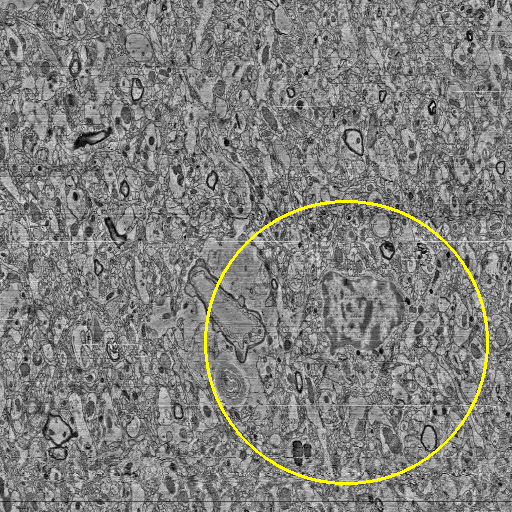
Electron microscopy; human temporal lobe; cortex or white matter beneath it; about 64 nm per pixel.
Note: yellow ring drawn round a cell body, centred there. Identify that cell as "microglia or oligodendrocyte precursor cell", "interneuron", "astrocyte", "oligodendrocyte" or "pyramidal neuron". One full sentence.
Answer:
The cell in the middle of the ring is a microglial cell or oligodendrocyte precursor cell.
